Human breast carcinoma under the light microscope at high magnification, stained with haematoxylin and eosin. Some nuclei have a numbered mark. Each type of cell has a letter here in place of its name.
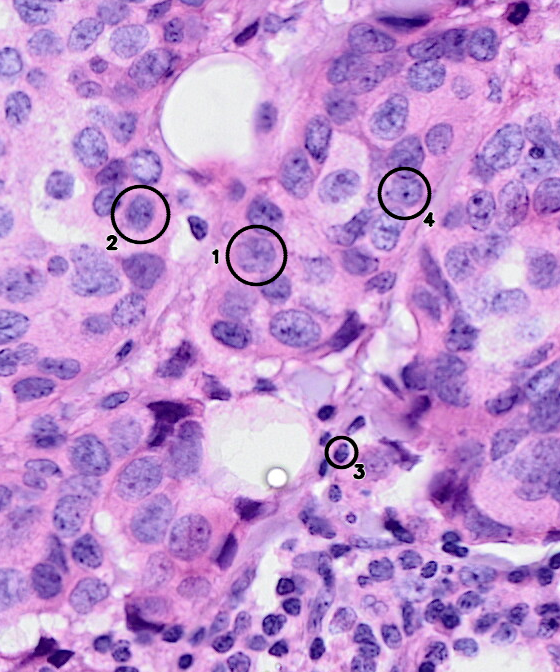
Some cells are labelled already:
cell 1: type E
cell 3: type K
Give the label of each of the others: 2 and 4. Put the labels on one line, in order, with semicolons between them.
type E; type E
